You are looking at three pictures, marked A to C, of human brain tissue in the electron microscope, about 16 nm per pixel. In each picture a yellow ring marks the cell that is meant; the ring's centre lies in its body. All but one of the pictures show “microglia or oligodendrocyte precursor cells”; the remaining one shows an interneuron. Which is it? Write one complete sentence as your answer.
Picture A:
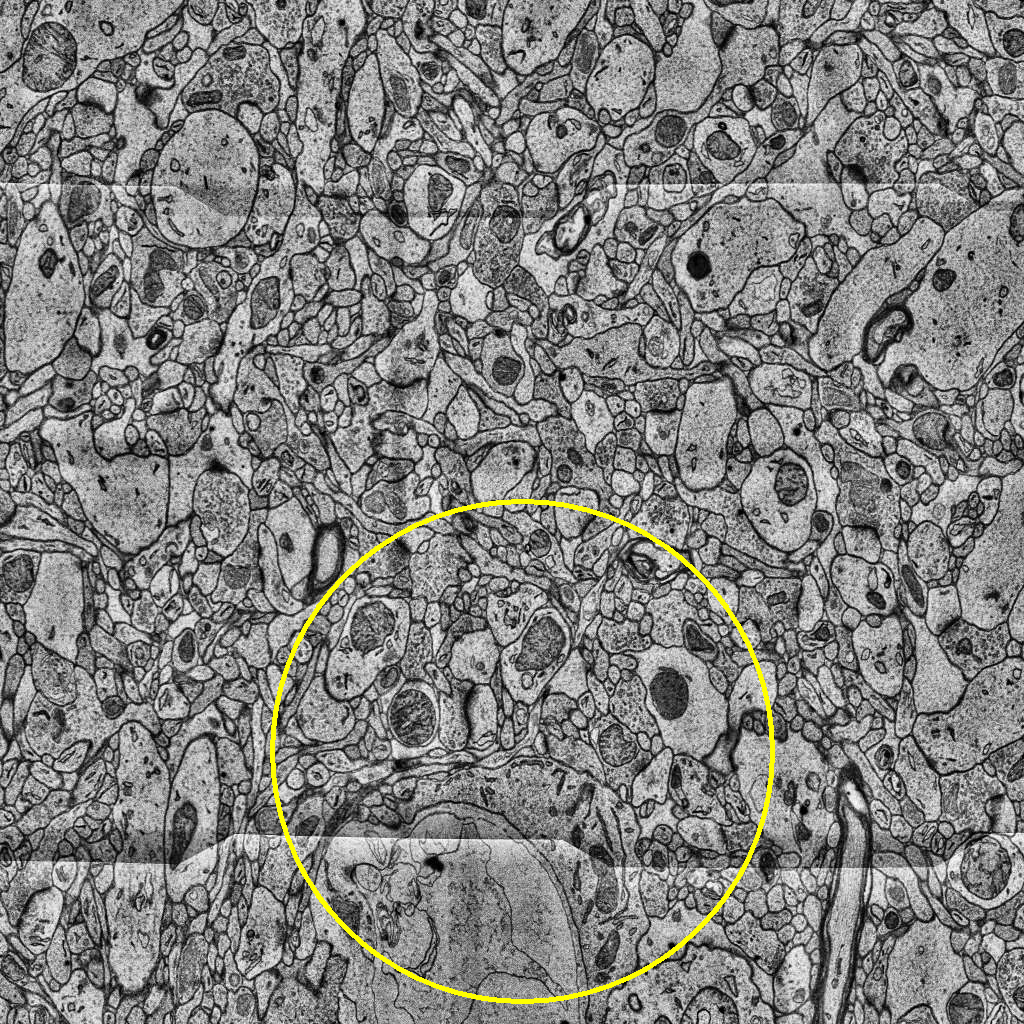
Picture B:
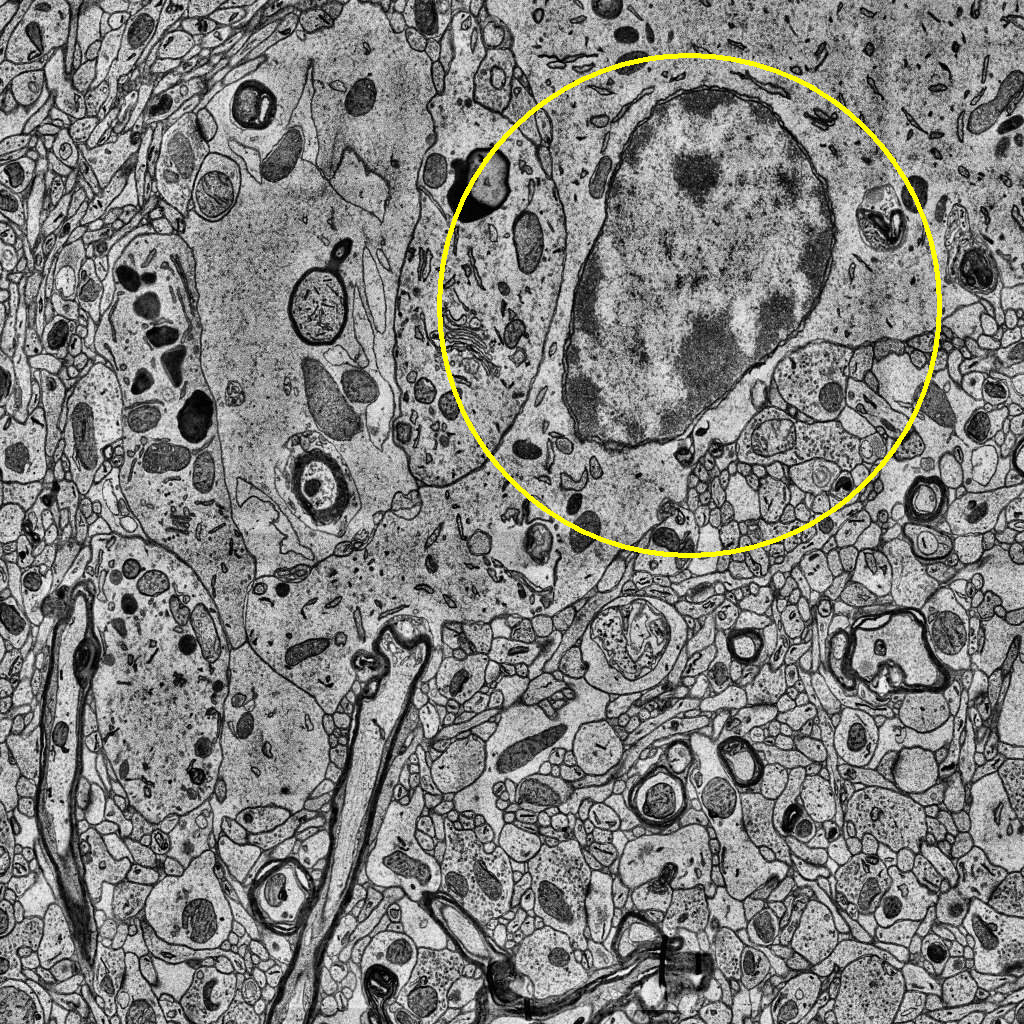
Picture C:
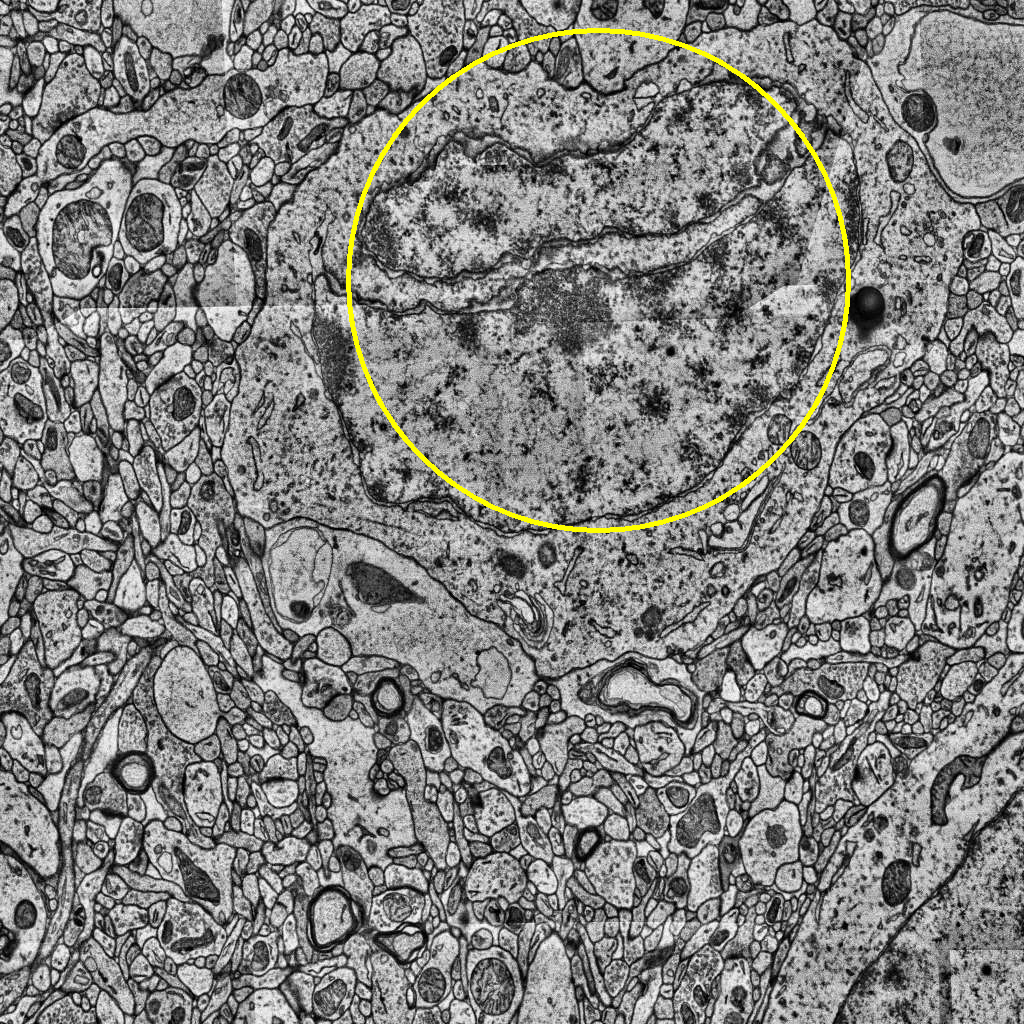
The interneuron is the one in picture C.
